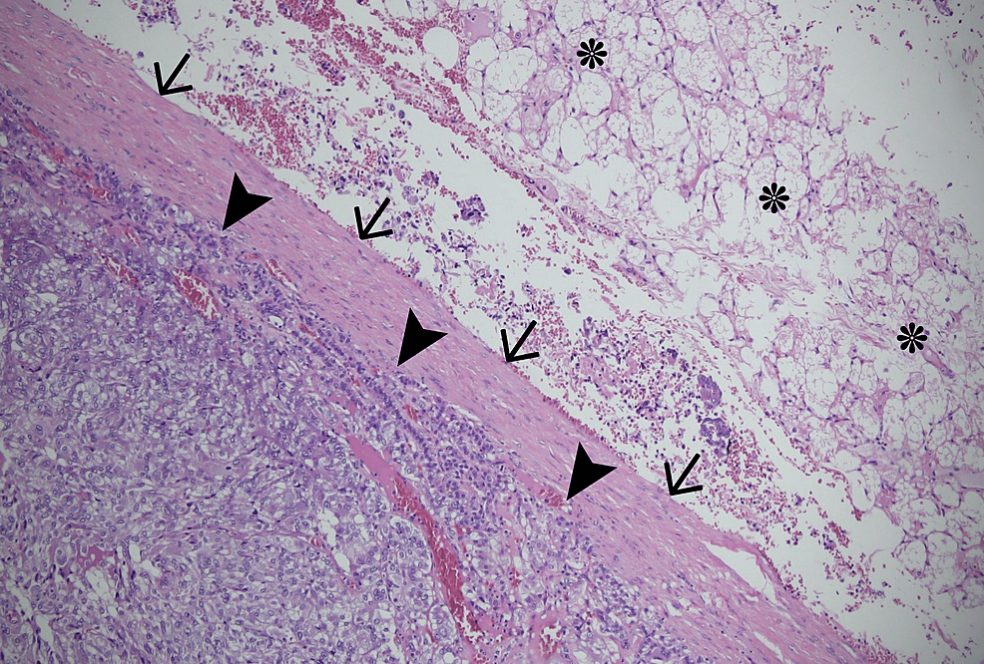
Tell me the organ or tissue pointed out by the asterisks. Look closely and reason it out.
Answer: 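Cells at upper right have pale cytoplasm filled with several clear vacuoles of varying size. The vacuolated cells lie outside the fibrous band. So: Brown fat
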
